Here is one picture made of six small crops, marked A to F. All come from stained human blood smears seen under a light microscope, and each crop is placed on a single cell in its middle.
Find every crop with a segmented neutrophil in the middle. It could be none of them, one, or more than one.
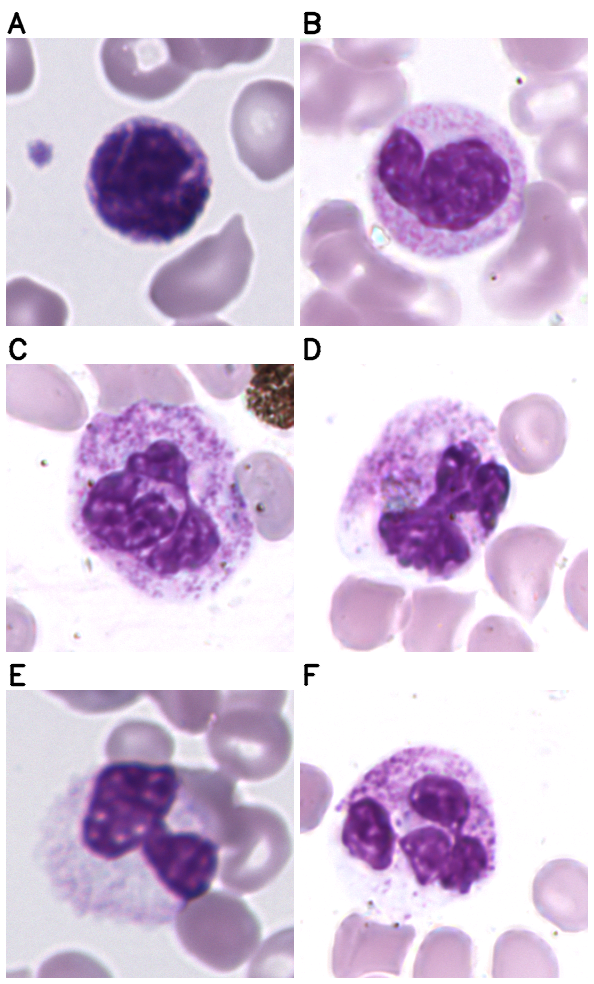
C, D, E, F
